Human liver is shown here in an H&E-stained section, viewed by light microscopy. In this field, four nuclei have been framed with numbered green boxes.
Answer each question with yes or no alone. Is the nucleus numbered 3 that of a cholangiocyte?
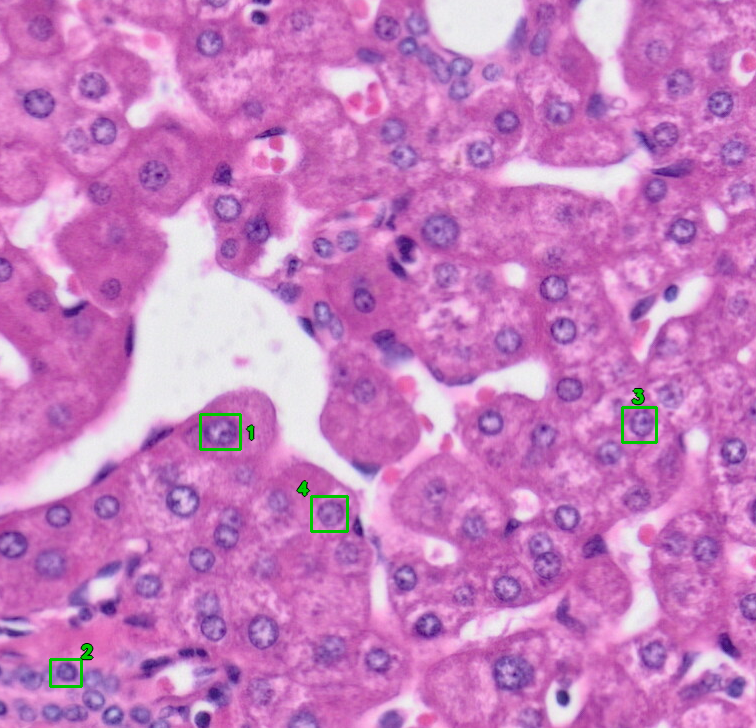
no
